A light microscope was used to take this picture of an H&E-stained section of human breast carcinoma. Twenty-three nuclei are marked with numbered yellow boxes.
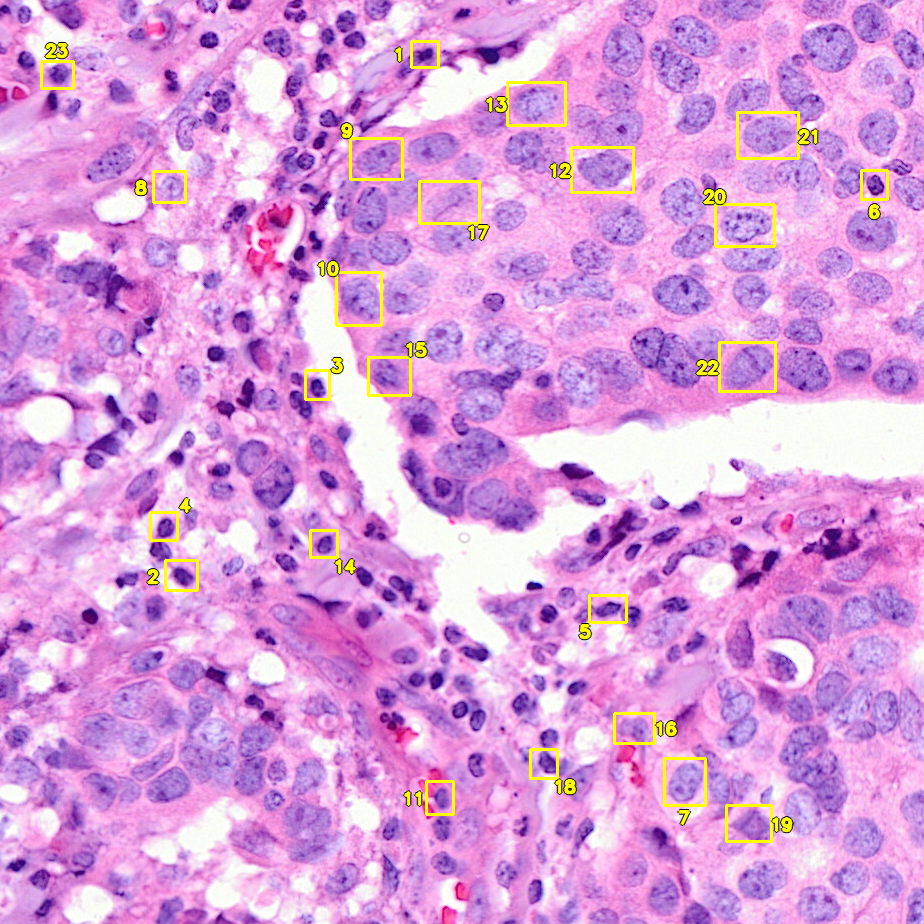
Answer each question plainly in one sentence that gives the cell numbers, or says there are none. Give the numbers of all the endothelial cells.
To be specific, the cells numbered 11 and 16 are endothelial cells.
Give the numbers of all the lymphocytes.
Marked by the numbers 1, 2, 3, 4, 5, 6, 14, 18 and 23 are cells that are lymphocytes.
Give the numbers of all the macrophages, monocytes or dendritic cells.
Of all the cells bearing numbers, cell 8 is the only one that is a macrophage, monocyte or dendritic cell.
